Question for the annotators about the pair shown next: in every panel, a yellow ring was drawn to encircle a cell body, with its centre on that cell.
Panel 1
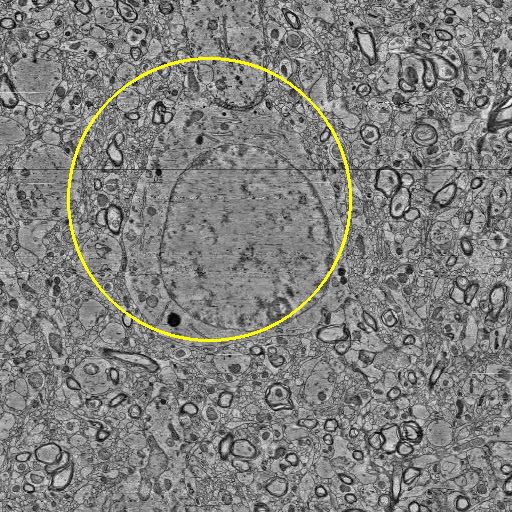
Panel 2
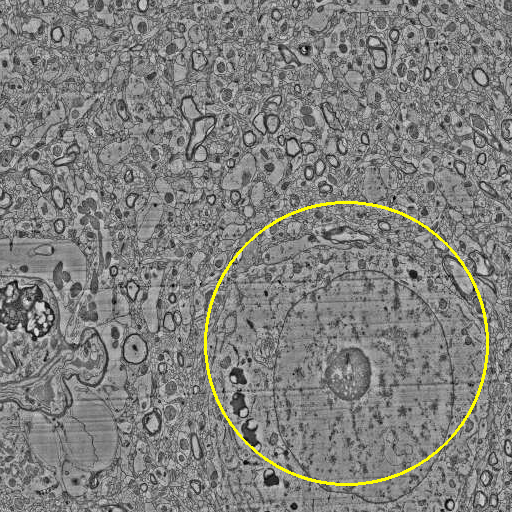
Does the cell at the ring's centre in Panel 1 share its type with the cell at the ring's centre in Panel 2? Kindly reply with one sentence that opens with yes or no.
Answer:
No, in Panels 1 and 2 the cells at the ring centres belong to separate types.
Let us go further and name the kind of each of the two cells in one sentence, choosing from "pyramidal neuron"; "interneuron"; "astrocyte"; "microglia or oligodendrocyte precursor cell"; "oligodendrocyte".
The ring of the first picture is on an interneuron, the ring of the second on a pyramidal neuron.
